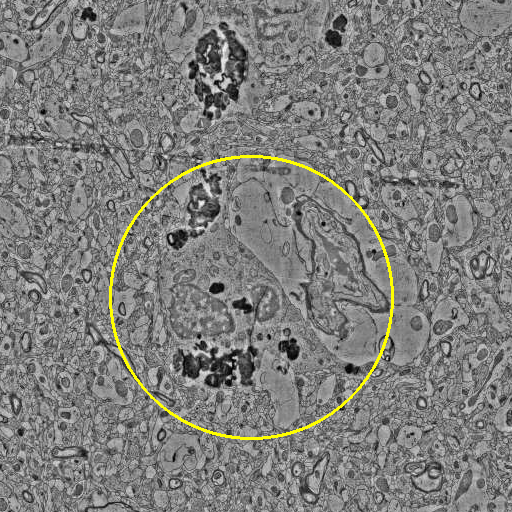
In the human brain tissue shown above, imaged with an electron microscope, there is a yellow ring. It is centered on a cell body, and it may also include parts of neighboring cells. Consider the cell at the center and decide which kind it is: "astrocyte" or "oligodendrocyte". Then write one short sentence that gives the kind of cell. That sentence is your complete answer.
This centered cell body is that of an oligodendrocyte.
